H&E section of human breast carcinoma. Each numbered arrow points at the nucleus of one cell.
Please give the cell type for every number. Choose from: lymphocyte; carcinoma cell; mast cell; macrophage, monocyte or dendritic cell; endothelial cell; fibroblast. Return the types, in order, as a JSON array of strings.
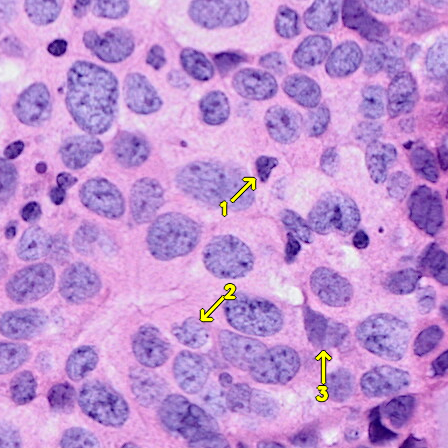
["lymphocyte", "carcinoma cell", "carcinoma cell"]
